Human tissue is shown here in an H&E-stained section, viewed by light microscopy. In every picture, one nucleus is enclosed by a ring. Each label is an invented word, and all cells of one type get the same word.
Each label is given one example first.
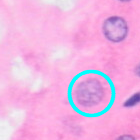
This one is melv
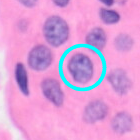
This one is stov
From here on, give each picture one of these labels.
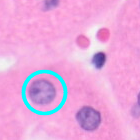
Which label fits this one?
melv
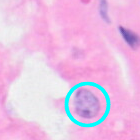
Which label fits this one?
melv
